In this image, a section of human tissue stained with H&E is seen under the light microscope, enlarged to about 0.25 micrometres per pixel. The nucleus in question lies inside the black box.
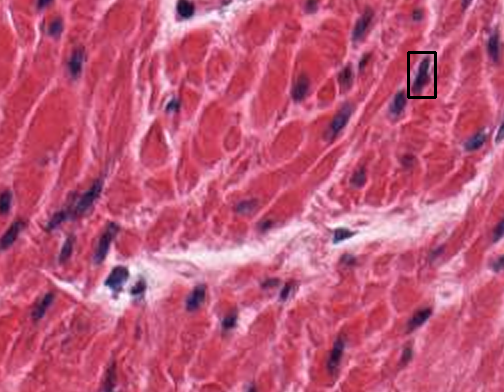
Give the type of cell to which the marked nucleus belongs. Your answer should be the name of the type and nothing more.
smooth muscle cell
